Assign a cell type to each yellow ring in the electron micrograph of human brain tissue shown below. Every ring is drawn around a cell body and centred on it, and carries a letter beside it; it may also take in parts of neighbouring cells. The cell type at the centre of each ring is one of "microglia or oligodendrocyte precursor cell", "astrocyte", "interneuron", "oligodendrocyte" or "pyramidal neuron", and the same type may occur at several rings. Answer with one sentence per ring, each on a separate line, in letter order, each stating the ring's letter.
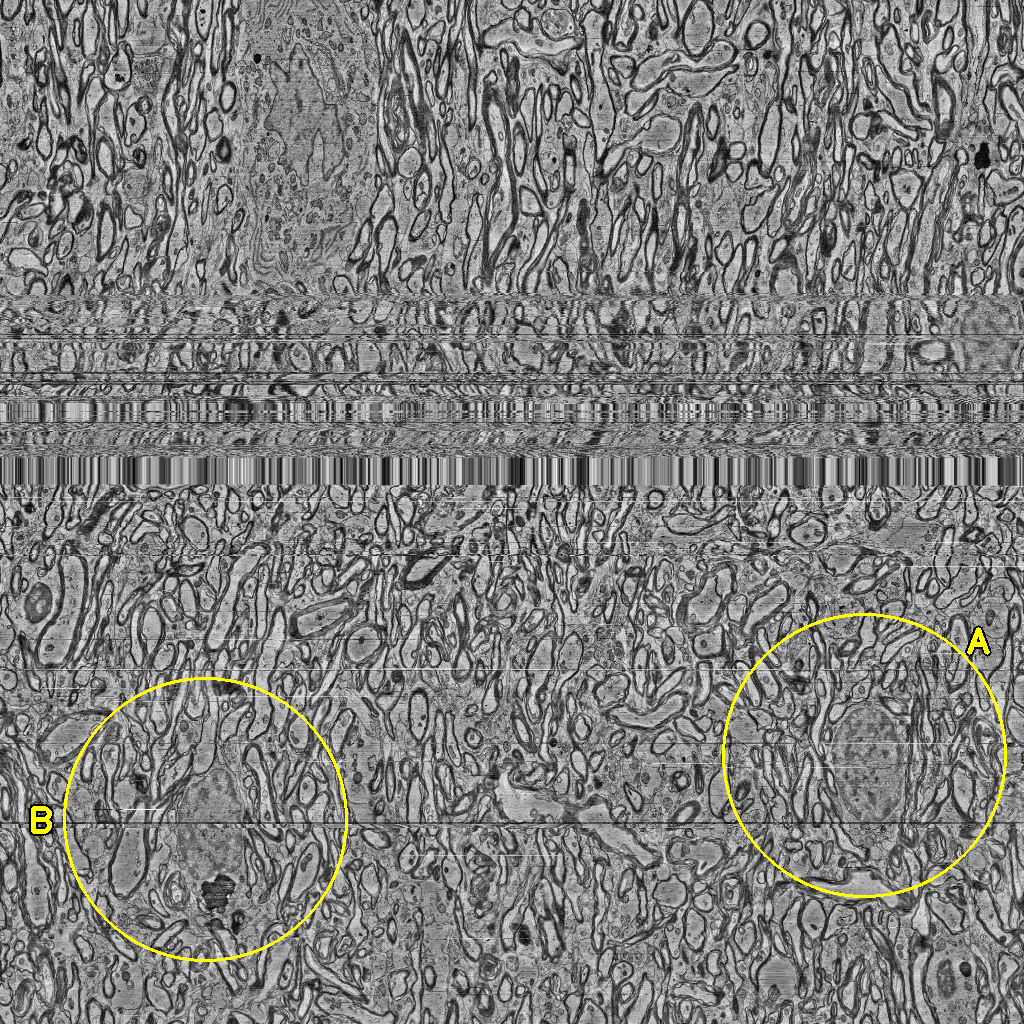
The cell at ring A's centre is an oligodendrocyte.
The cell at ring B's centre is an oligodendrocyte.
